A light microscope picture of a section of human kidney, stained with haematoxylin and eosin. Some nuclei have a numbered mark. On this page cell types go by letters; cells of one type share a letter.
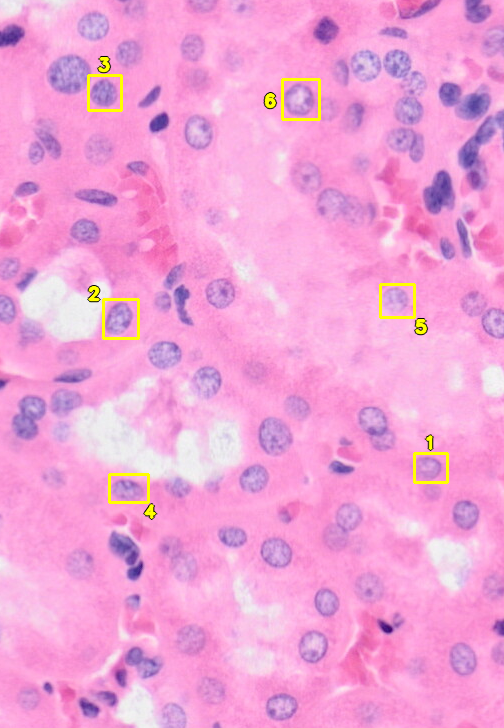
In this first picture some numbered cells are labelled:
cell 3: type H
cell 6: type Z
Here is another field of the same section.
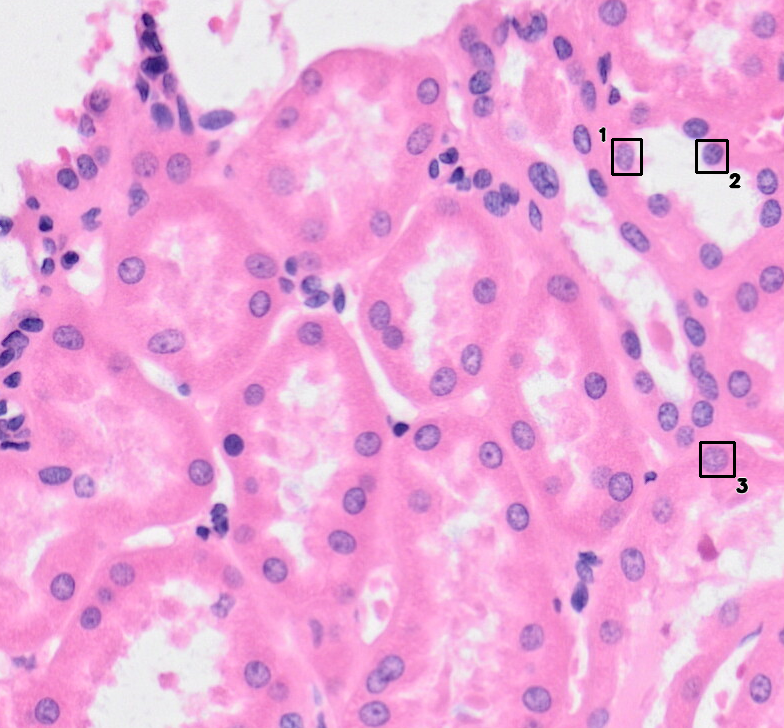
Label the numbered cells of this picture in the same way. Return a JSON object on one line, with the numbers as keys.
{"1": "type H", "2": "type H", "3": "type Z"}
